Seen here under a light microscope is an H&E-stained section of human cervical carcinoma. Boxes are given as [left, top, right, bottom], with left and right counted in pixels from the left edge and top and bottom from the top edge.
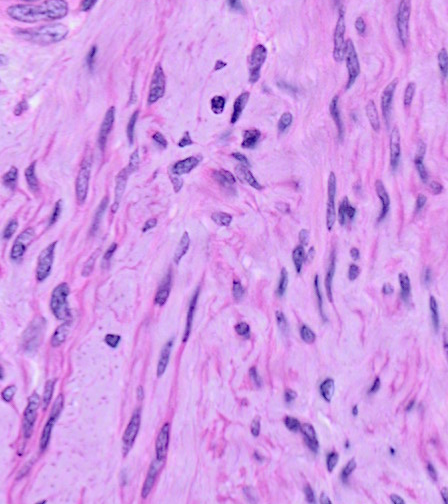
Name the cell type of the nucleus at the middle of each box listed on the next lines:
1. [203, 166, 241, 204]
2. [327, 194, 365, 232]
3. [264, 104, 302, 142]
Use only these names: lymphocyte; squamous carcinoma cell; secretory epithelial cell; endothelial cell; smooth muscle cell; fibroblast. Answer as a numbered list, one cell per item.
1. smooth muscle cell
2. fibroblast
3. fibroblast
